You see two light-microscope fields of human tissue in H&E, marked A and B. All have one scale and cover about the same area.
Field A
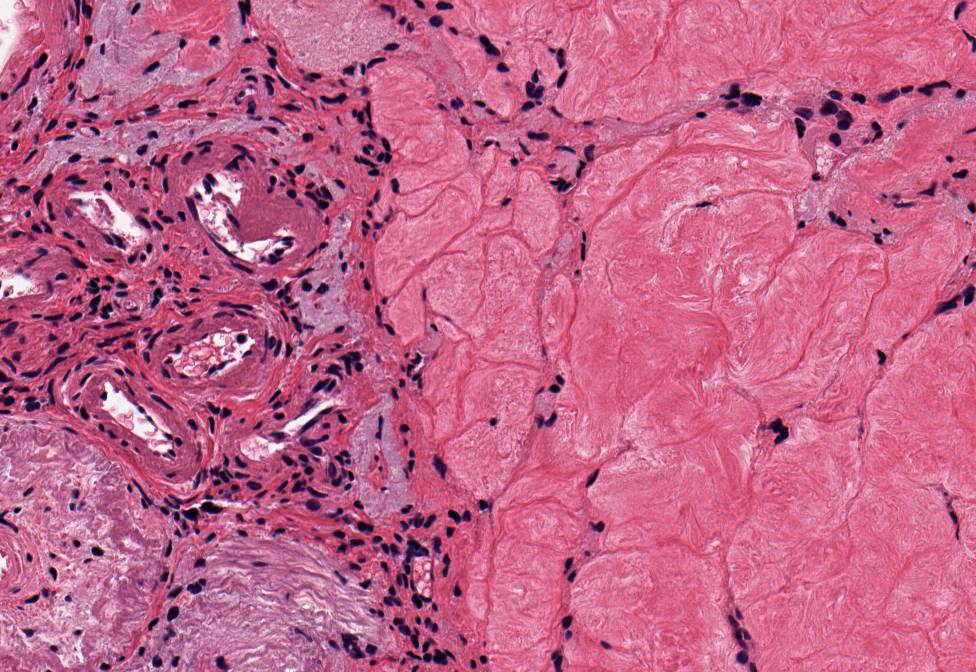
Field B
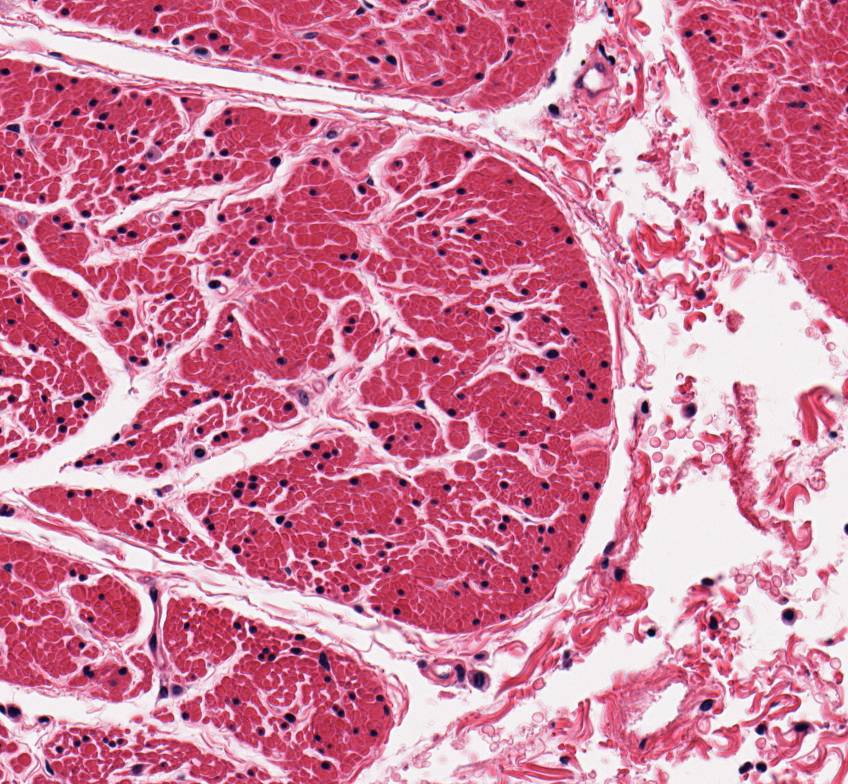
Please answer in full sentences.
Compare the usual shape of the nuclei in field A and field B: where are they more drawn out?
On the whole the nuclei of field A are more drawn out than those of field B.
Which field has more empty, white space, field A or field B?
Unstained space takes up more of field B than of field A.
